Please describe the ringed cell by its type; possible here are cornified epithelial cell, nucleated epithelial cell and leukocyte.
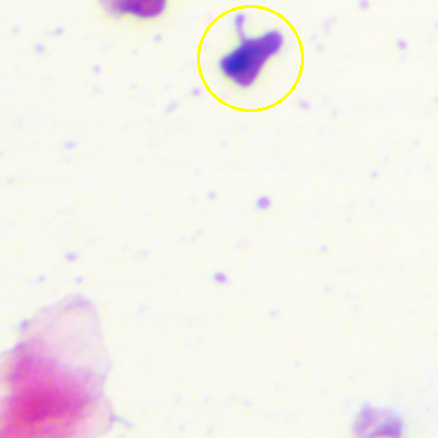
The yellow ring marks a nucleated epithelial cell.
